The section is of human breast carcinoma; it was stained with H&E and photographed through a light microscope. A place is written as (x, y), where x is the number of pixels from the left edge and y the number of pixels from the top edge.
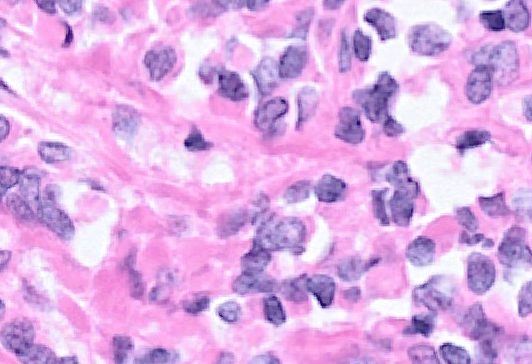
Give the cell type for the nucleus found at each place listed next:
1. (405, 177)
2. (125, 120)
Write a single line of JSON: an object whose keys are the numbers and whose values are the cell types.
{"1": "carcinoma cell", "2": "fibroblast"}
